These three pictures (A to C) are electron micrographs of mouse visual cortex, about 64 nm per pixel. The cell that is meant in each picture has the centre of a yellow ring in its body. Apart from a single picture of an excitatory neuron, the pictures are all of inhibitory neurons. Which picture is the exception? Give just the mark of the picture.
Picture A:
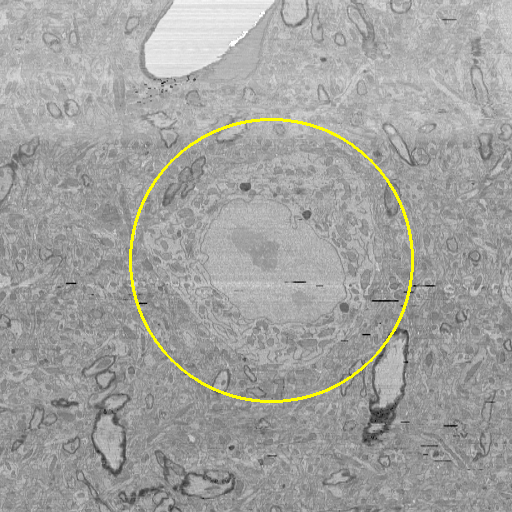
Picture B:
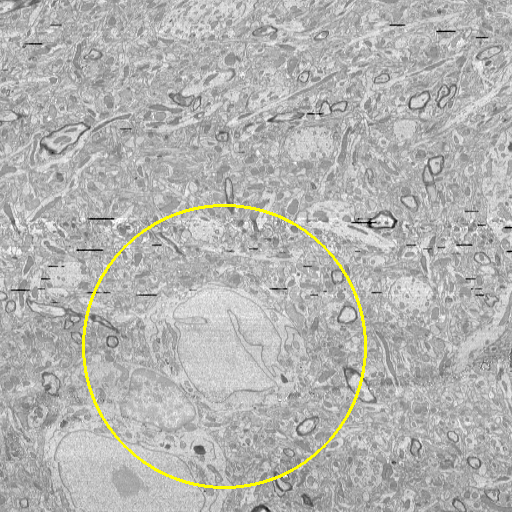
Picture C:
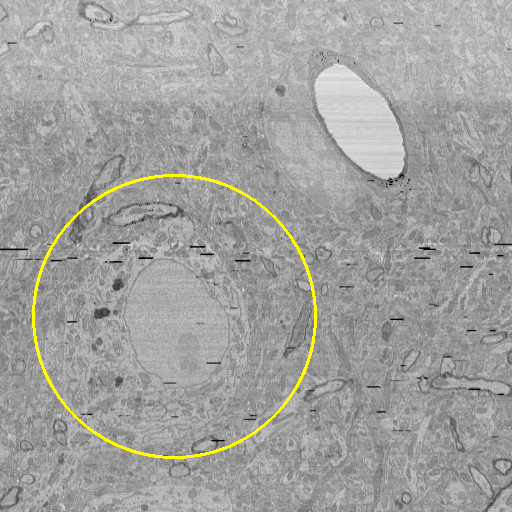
B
